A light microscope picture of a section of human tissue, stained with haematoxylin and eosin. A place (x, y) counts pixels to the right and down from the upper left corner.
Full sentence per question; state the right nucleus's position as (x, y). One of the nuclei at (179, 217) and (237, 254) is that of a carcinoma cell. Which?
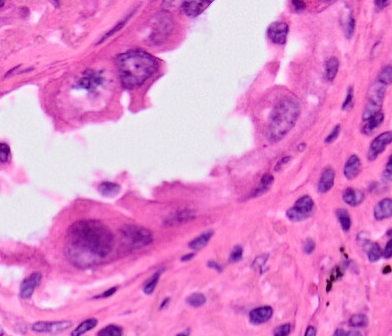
The nucleus whose position is (179, 217) belongs to a carcinoma cell.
